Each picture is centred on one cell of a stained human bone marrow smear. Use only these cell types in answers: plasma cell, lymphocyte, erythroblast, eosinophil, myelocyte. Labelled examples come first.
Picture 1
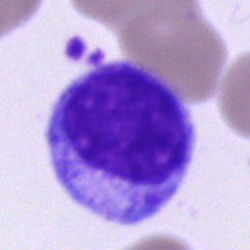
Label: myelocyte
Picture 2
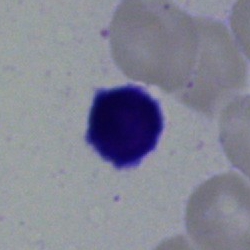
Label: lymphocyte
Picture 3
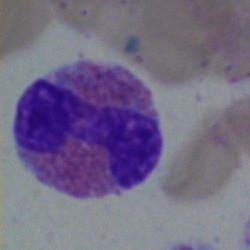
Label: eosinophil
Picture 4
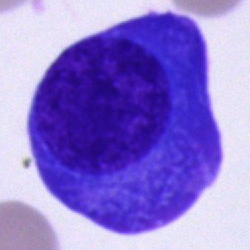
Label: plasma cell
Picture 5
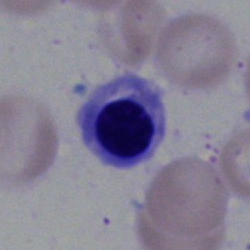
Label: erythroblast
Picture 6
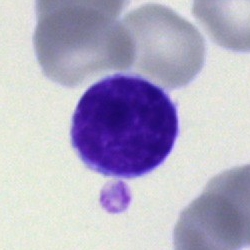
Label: lymphocyte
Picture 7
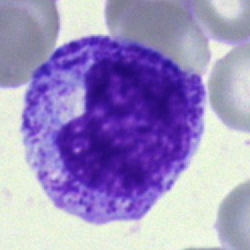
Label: myelocyte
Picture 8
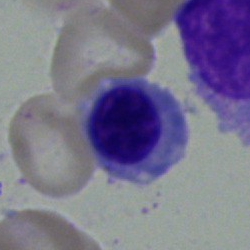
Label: erythroblast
